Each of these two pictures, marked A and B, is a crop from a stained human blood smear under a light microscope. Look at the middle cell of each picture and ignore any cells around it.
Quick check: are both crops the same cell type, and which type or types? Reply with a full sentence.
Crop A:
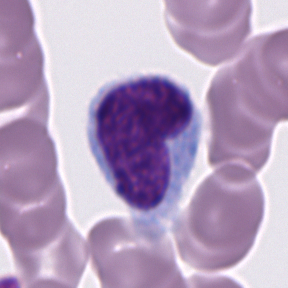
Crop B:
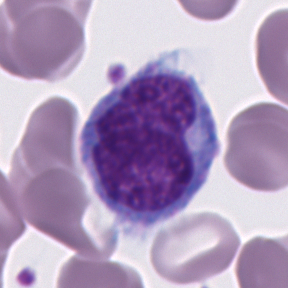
Yes, it is monocytes that sit at the centre of both crops.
